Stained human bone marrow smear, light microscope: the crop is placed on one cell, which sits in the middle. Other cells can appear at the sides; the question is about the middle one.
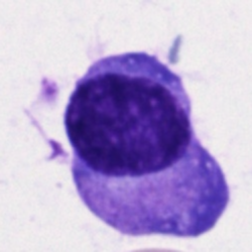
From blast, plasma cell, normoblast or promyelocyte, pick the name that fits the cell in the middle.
plasma cell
